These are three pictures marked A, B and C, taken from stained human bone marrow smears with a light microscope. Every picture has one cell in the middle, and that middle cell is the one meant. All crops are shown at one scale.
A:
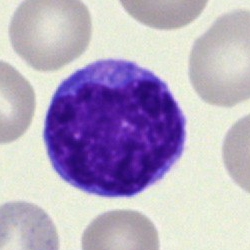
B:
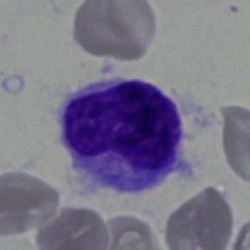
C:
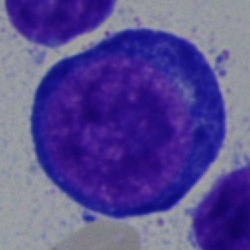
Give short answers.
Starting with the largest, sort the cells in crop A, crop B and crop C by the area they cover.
C, A, B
